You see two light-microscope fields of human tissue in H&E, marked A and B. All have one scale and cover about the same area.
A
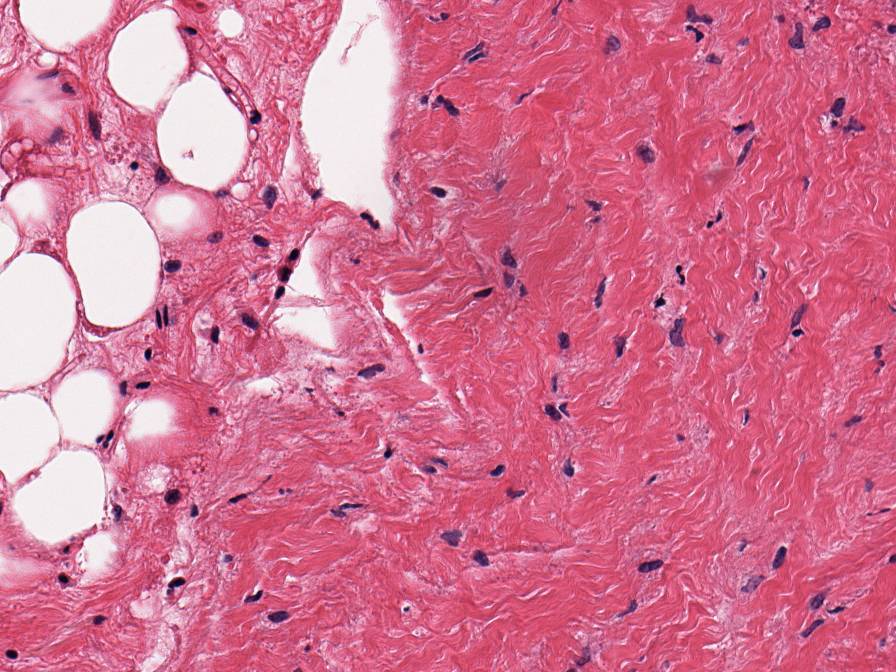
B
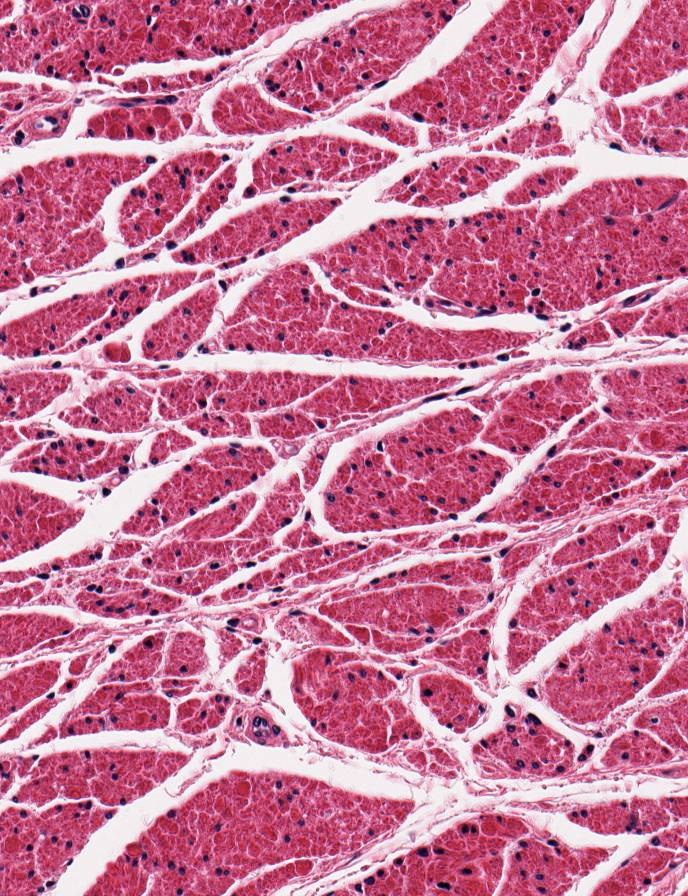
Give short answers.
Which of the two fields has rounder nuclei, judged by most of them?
B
